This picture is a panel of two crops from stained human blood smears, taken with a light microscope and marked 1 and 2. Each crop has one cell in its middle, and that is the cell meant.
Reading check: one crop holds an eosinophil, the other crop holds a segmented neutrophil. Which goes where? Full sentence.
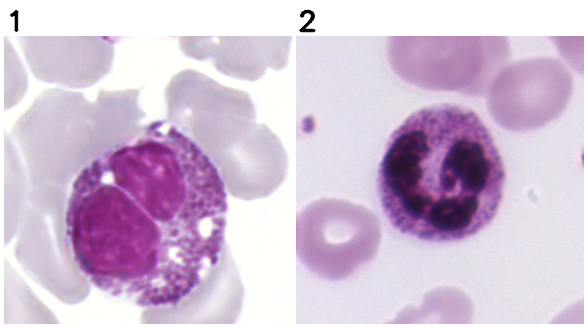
Placed in the middle of crop 1 is an eosinophil, and in the middle of crop 2, a segmented neutrophil.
